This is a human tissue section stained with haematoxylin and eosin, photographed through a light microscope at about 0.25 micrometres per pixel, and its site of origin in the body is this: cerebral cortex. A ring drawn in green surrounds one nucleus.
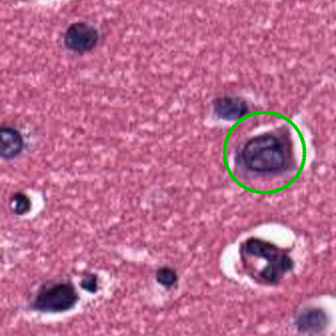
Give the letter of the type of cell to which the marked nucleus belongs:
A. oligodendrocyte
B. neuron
B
